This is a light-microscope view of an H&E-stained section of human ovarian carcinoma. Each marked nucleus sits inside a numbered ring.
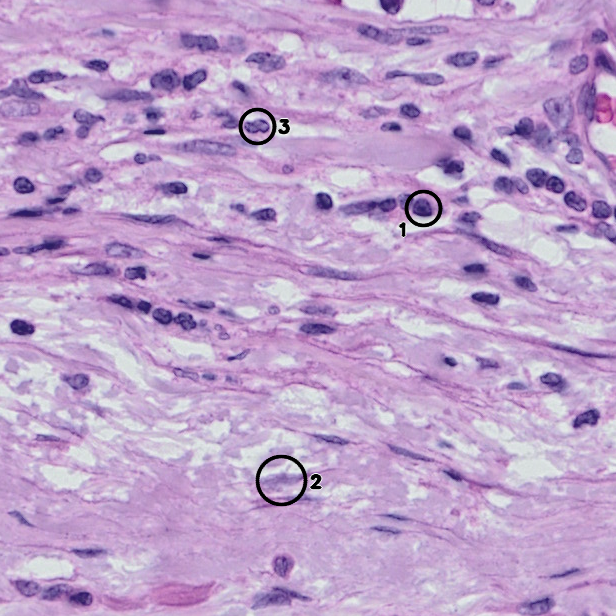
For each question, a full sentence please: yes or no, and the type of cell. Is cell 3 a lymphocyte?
Yes, the cell with the number 3 is a lymphocyte.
